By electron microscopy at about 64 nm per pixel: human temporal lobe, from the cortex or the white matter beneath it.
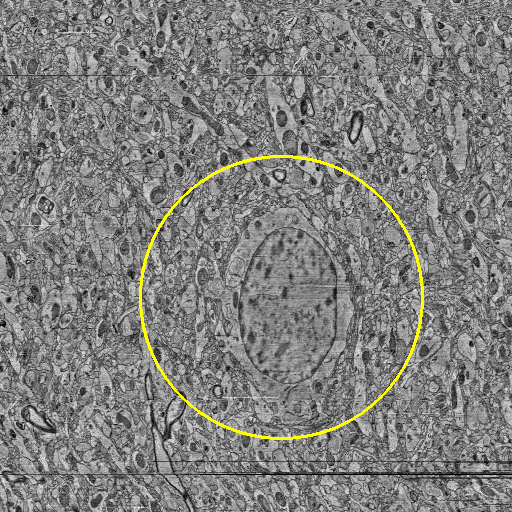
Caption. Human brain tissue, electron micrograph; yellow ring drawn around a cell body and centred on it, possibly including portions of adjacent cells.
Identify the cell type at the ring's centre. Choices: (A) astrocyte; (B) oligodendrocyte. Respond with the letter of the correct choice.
A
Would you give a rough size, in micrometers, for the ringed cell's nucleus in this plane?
About 10 by 7 micrometres; in this plane the nucleus is clearly longer than it is wide.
